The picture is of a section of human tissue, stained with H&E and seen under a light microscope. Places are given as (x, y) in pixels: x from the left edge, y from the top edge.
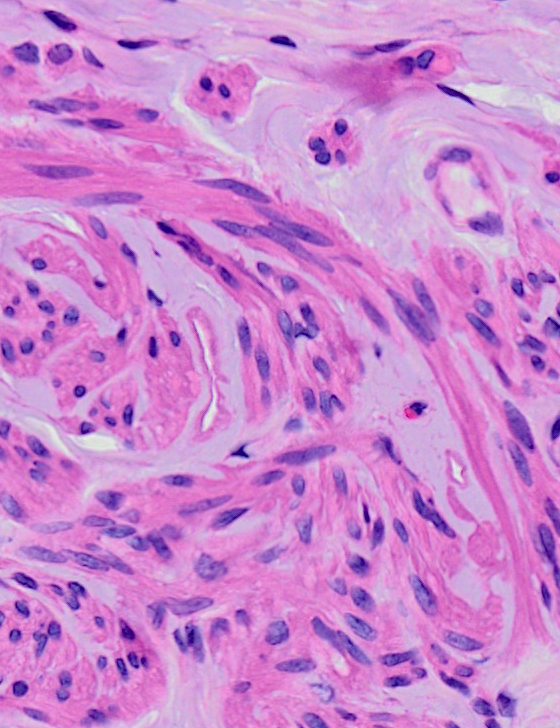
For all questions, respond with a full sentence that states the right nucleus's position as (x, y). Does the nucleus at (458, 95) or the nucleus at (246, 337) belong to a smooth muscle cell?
It is the nucleus at (246, 337) that belongs to a smooth muscle cell.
